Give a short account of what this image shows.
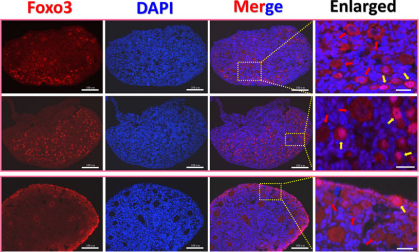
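Whole sections of ovary with densely packed small blue nuclei throughout and scattered large round oocytes. In the enlarged views, the oocytes stand out as bright red round profiles, much larger than the surrounding cells.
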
